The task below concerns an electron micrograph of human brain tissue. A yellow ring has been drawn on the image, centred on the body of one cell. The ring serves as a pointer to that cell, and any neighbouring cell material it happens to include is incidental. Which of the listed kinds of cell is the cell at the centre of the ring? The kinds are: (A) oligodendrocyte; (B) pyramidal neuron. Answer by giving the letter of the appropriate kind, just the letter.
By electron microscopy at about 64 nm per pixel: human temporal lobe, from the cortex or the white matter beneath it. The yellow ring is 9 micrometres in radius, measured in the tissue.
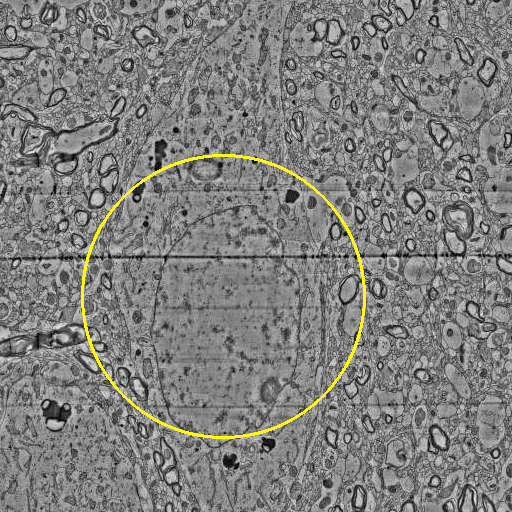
B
